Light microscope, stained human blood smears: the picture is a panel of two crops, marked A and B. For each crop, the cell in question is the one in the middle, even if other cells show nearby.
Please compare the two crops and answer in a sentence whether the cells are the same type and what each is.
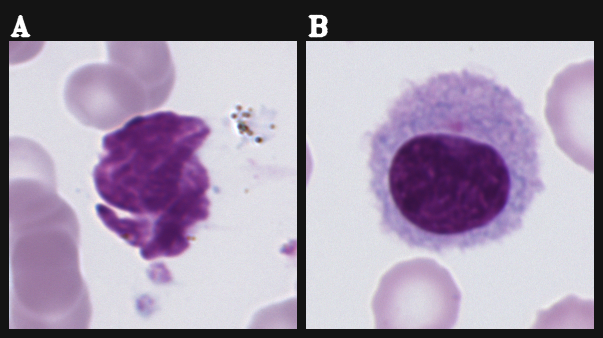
No, crop A is where a smudge cell is shown, and crop B is where a hairy cell is shown.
